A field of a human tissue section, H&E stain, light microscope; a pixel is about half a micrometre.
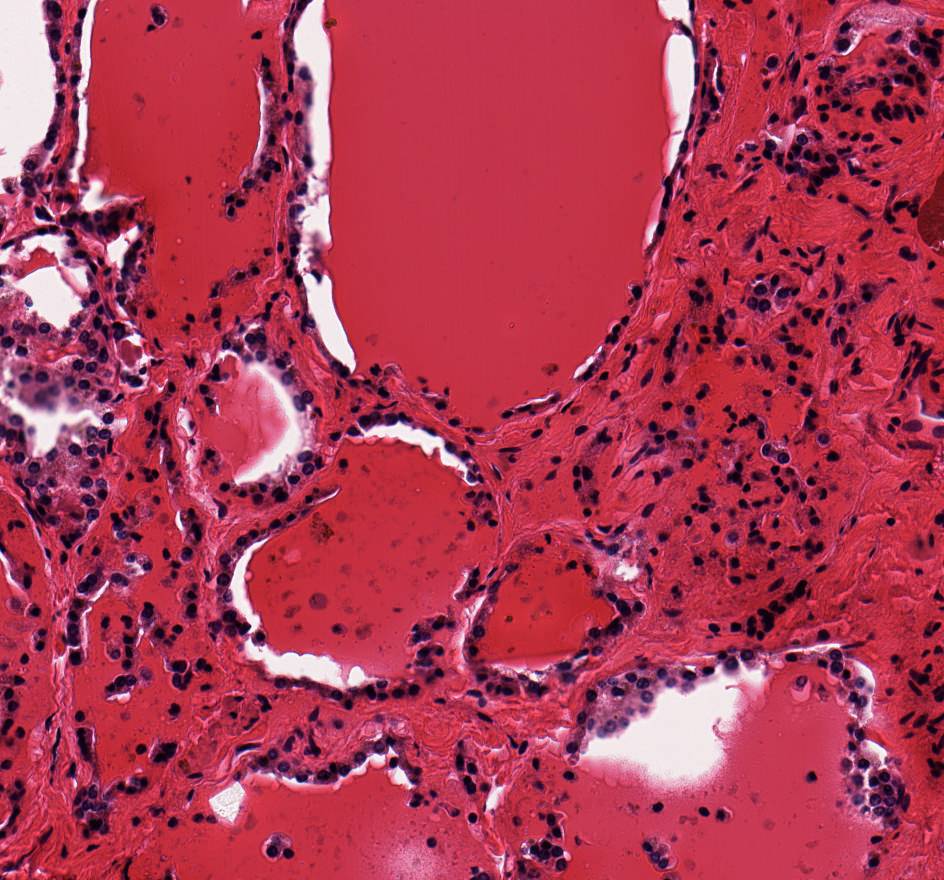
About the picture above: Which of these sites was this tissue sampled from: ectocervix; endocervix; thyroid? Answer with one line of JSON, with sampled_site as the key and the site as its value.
{"sampled_site": "thyroid"}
